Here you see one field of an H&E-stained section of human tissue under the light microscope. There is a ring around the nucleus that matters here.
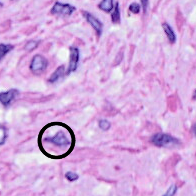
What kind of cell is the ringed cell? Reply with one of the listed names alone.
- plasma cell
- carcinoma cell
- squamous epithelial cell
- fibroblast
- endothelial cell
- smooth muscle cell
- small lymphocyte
fibroblast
